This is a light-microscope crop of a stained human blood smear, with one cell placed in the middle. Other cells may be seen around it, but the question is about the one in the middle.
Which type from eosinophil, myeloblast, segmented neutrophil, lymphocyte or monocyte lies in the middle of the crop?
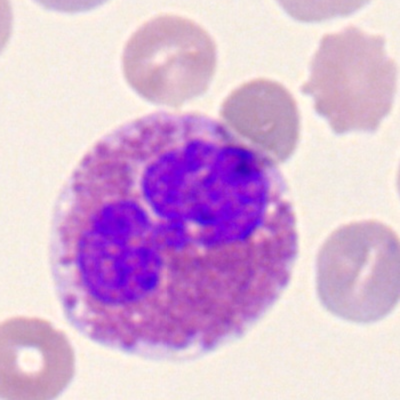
eosinophil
